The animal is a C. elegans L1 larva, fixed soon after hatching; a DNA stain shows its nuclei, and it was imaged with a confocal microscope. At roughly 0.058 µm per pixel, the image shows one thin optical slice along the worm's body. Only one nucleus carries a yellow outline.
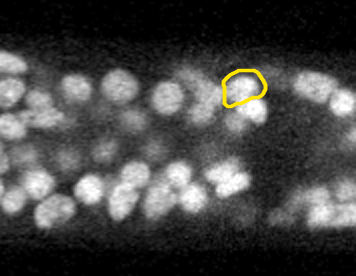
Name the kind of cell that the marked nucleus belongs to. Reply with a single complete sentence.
The marked nucleus is that of a neuron.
